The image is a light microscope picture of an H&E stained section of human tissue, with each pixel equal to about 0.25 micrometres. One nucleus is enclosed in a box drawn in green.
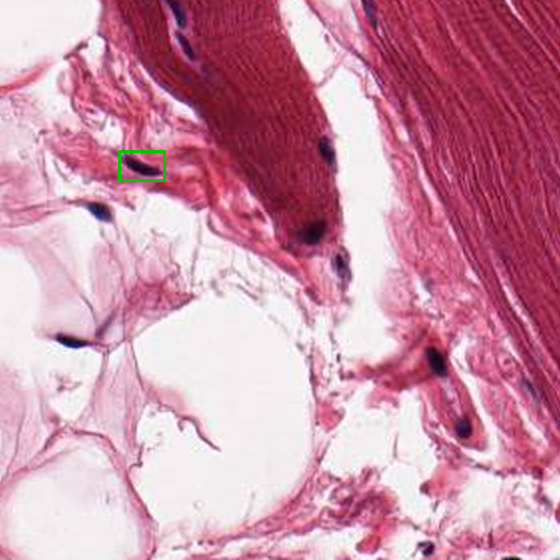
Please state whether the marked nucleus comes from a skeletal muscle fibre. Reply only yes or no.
no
